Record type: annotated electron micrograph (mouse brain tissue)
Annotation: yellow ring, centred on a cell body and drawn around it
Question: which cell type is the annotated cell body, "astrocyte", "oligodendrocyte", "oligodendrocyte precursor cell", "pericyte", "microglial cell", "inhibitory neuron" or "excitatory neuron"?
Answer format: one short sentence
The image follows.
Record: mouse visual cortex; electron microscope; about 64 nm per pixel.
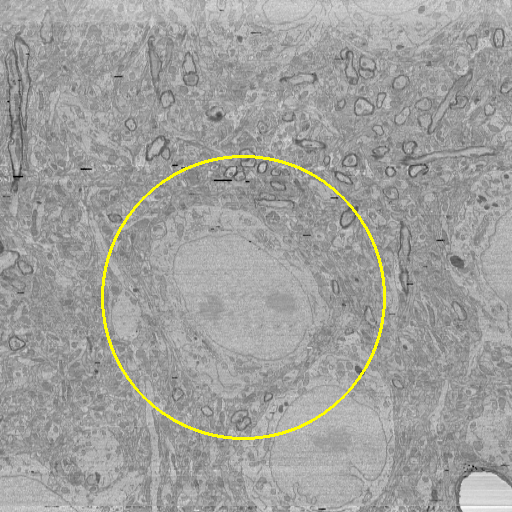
The annotated cell body is that of an excitatory neuron.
